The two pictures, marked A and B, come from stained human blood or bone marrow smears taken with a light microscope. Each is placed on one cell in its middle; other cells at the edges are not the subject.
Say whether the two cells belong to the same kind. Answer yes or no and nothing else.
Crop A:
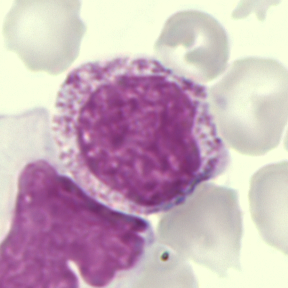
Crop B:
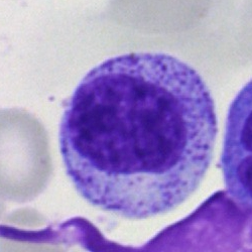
yes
